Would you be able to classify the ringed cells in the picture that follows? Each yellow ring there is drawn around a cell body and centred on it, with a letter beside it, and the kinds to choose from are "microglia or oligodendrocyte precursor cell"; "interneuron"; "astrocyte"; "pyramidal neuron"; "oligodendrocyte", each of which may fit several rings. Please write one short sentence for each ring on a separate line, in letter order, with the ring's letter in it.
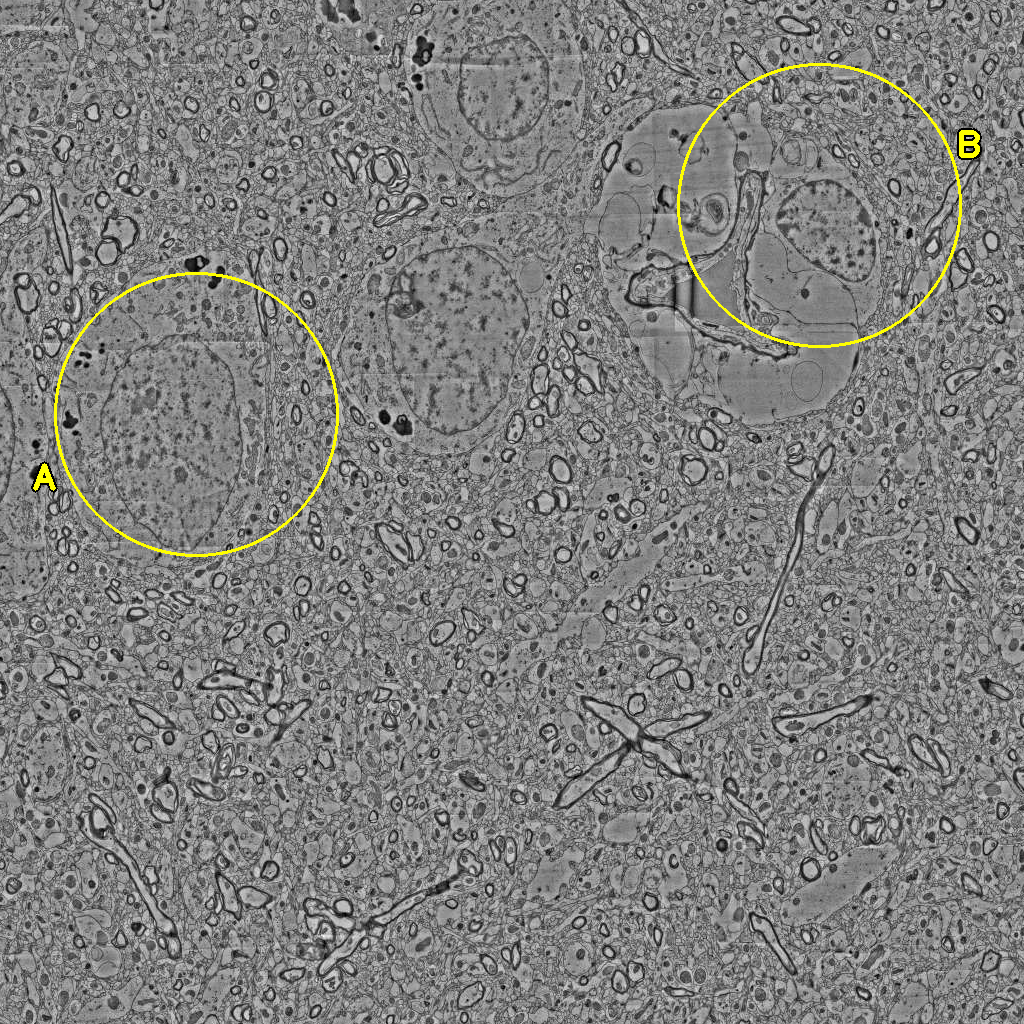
The cell body at the centre of ring A belongs to a pyramidal neuron.
The cell body at the centre of ring B belongs to a microglial cell or oligodendrocyte precursor cell.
